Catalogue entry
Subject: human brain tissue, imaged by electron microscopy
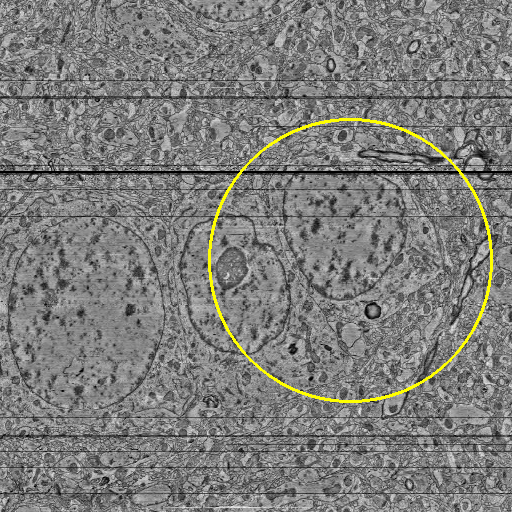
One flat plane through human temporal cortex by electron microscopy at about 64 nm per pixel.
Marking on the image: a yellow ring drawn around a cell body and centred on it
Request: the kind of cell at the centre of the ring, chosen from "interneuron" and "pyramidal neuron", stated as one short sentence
The ring has a pyramidal neuron at its centre.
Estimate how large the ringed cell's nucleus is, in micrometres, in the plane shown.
The nucleus measures about 8 micrometers across in this plane.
